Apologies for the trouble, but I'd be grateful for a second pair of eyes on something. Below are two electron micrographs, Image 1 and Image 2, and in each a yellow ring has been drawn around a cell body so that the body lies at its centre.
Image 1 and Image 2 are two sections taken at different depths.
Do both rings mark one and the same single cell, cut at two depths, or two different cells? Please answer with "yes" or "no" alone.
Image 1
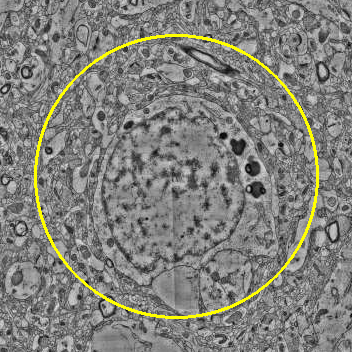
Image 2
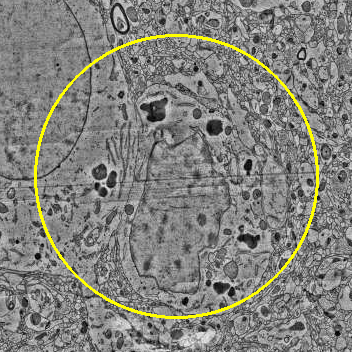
no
